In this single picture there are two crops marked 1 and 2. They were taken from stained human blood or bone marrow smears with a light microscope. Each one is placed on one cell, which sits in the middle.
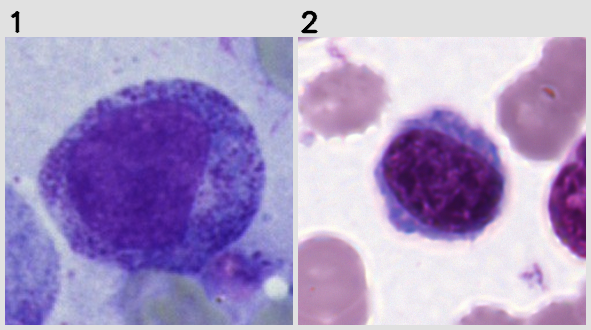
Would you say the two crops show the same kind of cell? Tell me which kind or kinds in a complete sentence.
No, the cell at the middle of crop 1 is a promyelocyte, while crop 2 centres on a plasma cell.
